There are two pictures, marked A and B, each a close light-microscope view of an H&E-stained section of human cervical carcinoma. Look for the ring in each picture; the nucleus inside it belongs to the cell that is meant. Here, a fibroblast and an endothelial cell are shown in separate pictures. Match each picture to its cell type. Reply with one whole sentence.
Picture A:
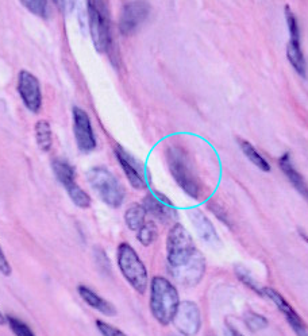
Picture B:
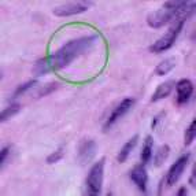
Picture A is of an endothelial cell, and picture B is of a fibroblast.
